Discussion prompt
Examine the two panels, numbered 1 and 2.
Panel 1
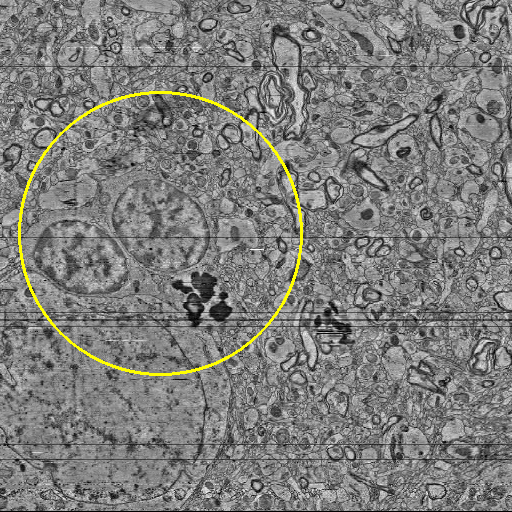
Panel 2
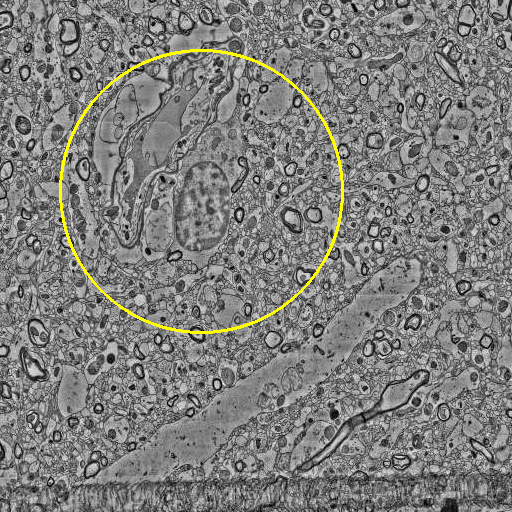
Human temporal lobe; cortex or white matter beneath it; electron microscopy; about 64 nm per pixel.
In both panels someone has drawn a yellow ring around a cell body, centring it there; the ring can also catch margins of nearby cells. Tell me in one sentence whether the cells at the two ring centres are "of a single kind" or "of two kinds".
Taken together, the two cells centred in the rings of Panels 1 and 2 are of a single kind.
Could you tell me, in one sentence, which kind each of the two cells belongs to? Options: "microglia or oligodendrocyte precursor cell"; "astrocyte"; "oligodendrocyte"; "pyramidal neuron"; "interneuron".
Each of the two pictures has an oligodendrocyte at the ring centre.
